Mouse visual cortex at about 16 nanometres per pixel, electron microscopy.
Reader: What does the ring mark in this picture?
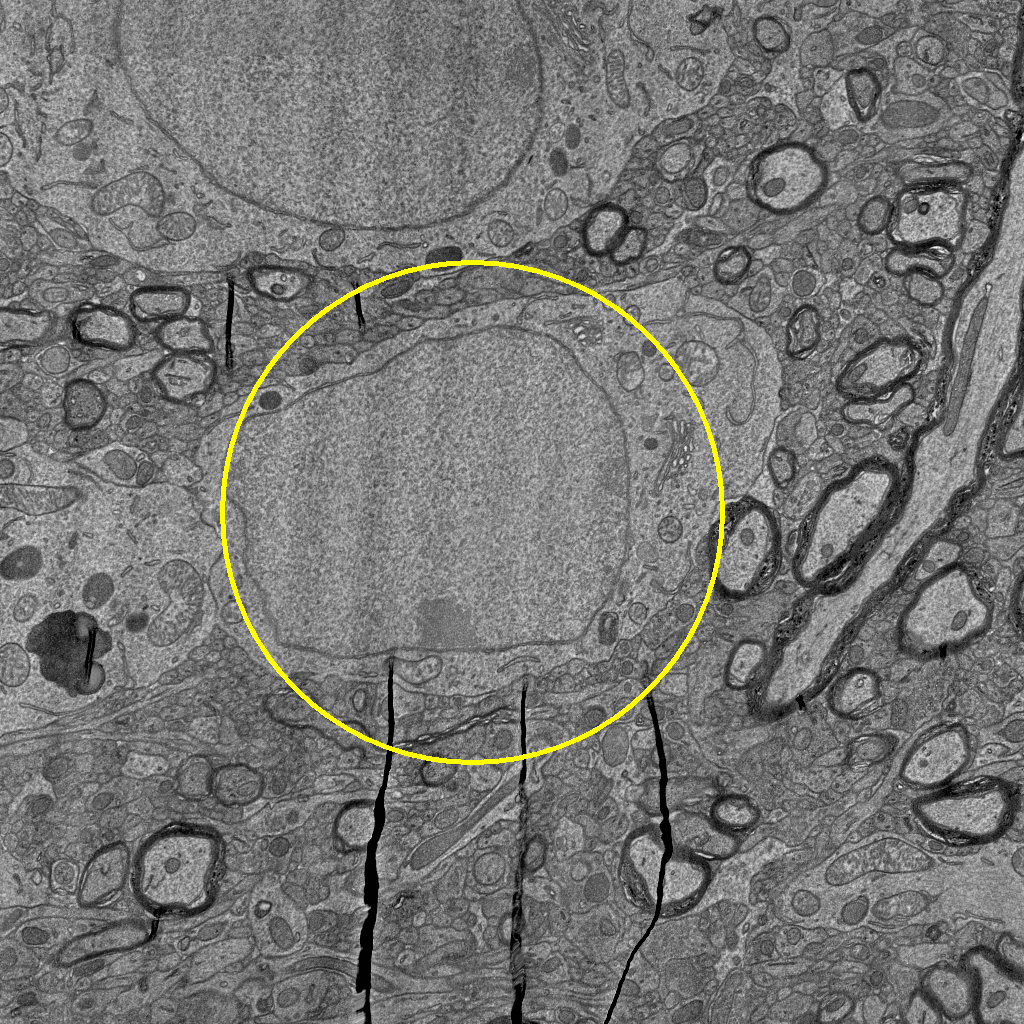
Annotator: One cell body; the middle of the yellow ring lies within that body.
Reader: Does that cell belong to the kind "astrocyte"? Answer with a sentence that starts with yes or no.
No, the cell at the ring's centre in this picture is of another kind.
